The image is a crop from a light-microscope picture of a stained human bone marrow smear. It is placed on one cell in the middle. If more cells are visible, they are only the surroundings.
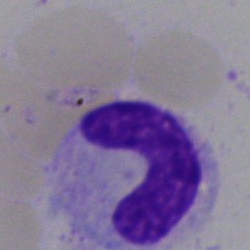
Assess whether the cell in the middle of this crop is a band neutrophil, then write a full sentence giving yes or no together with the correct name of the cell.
Yes, the cell shown centrally is a band neutrophil.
